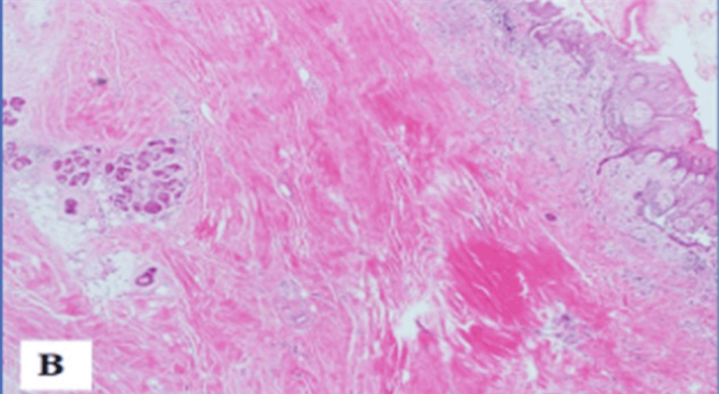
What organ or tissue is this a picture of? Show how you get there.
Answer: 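A stratified epithelial layer with downward projections lies at the top right. Dense connective tissue lies beneath the epithelium.
Conclusion: squamous mucosa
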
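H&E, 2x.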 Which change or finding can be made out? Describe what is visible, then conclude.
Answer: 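Most of the field is dense, deeply pink collagen bundles. Only a small cluster of gland lobules remains at the left amid the dense pink tissue.
Hence: fibrosis and scarring.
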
